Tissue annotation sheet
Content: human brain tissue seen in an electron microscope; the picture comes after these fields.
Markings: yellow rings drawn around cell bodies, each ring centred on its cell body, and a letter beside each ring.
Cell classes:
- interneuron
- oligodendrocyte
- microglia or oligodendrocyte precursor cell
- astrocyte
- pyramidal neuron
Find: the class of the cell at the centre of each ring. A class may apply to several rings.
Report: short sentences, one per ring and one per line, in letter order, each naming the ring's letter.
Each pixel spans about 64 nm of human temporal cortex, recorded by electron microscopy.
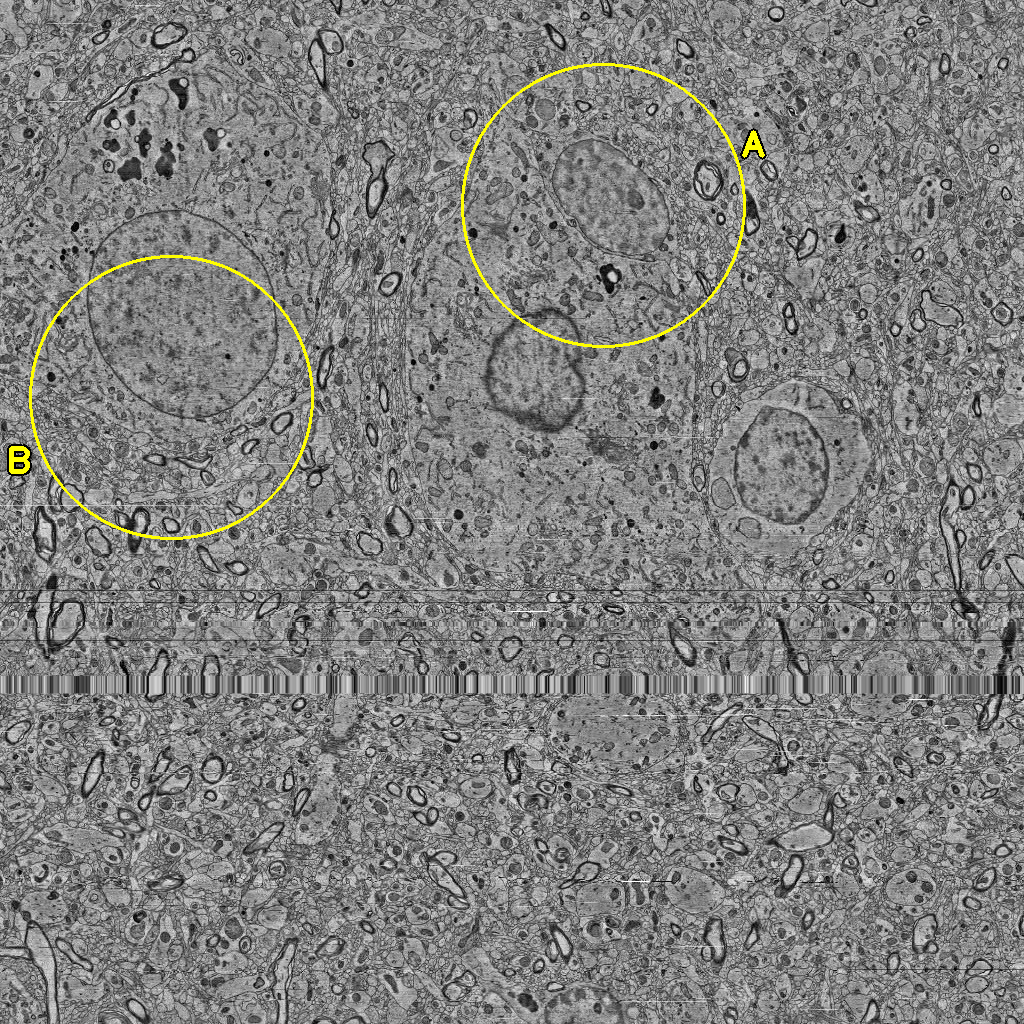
Ring A holds an oligodendrocyte at its centre.
Ring B holds a pyramidal neuron at its centre.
